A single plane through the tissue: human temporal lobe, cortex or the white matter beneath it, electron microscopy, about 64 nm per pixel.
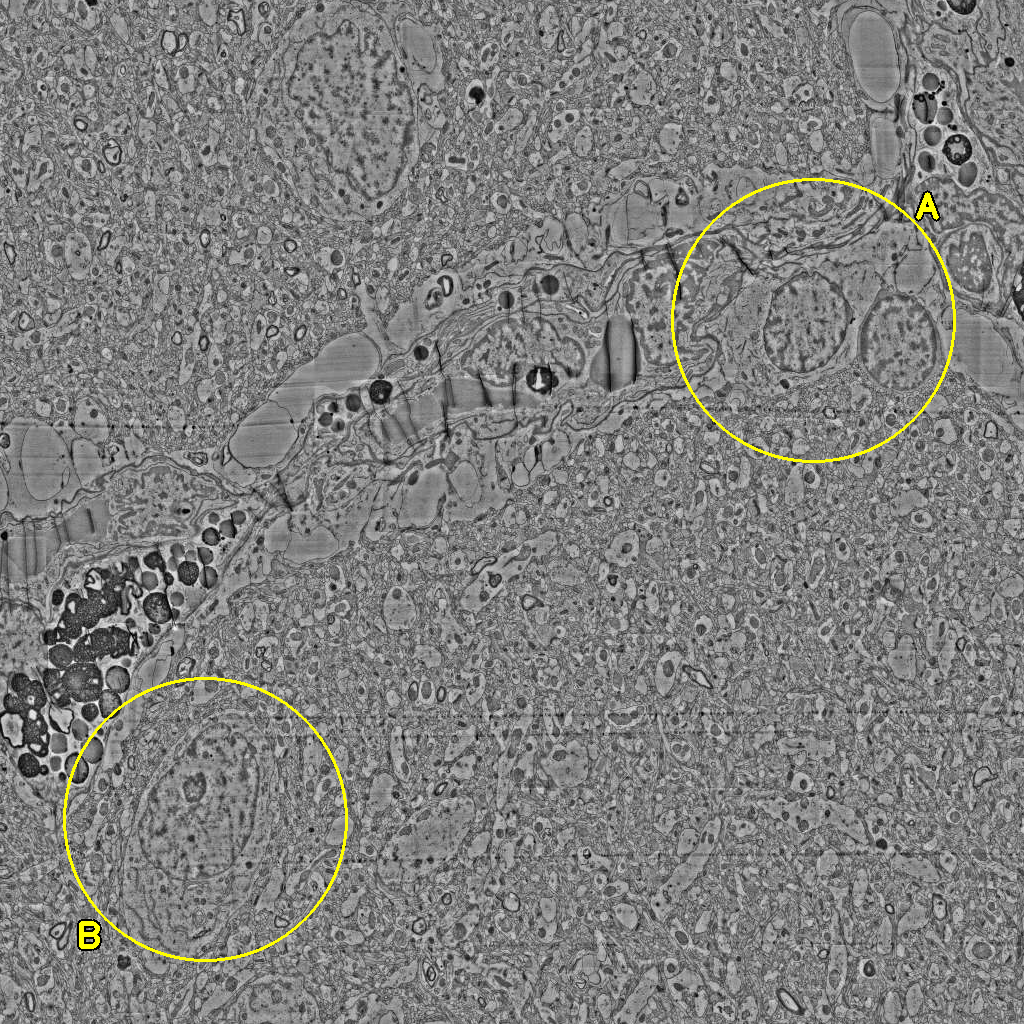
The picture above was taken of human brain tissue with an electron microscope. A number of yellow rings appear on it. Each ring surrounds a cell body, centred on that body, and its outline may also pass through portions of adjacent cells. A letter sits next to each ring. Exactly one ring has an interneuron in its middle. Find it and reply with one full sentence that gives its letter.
Letter B labels the ring whose centre falls on a cell of that kind.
